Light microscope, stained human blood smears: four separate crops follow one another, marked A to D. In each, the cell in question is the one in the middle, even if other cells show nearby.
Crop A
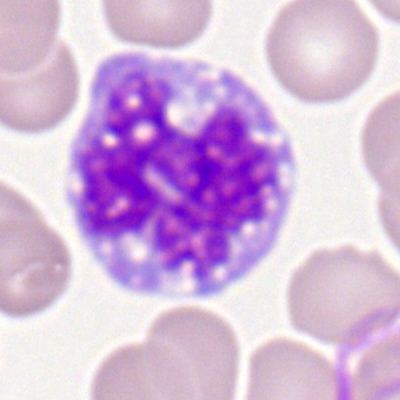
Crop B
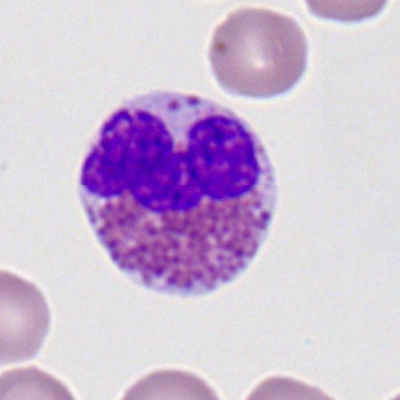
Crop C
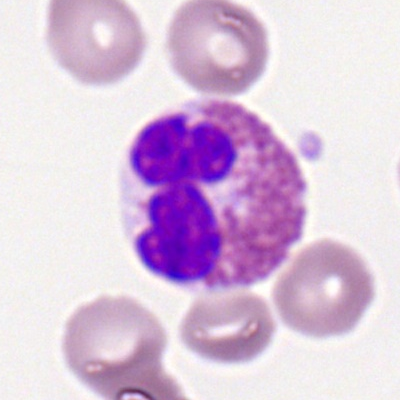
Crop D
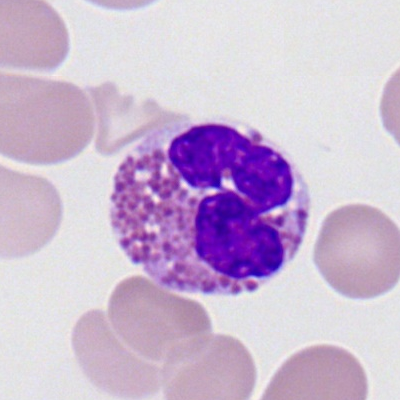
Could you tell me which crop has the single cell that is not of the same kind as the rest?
A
